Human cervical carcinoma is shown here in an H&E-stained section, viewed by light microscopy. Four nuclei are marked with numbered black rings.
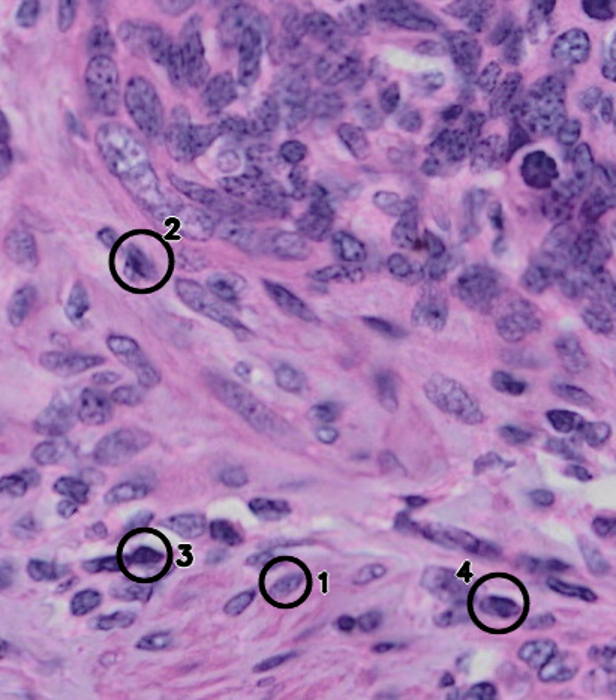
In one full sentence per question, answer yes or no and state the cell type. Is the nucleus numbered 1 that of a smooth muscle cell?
Yes, the cell pointed out as number 1 is a smooth muscle cell.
